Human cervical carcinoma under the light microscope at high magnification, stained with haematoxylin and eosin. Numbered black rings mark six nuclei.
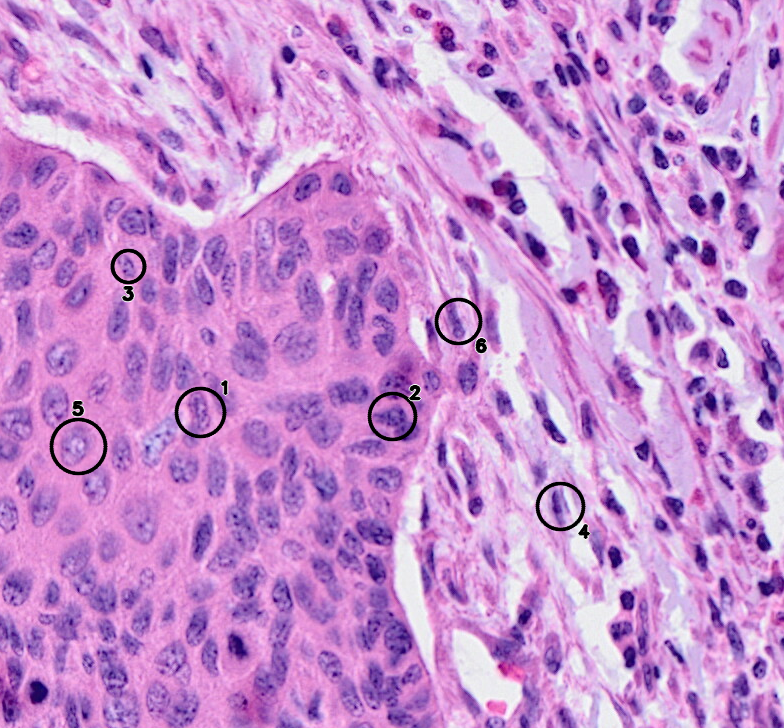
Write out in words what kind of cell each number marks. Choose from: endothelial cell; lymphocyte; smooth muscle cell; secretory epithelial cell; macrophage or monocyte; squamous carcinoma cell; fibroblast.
Cell 1 is a squamous carcinoma cell, cell 2 is a squamous carcinoma cell, cell 3 is a squamous carcinoma cell, cell 4 is a fibroblast, cell 5 is a squamous carcinoma cell and cell 6 is a fibroblast.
